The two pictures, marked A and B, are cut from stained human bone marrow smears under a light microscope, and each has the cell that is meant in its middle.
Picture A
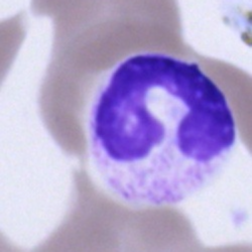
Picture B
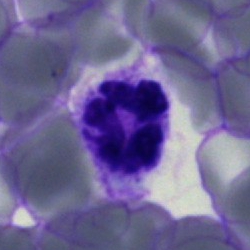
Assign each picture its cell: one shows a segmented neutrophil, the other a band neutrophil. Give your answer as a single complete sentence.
Picture B shows a segmented neutrophil, while picture A shows a band neutrophil.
